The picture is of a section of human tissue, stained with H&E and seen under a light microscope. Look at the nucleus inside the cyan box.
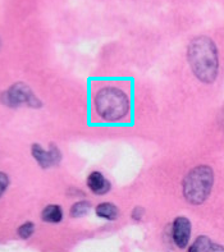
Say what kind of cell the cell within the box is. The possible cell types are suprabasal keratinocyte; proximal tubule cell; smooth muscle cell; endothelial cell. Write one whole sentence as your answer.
In this field of tissue, the cell within the box is a proximal tubule cell.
